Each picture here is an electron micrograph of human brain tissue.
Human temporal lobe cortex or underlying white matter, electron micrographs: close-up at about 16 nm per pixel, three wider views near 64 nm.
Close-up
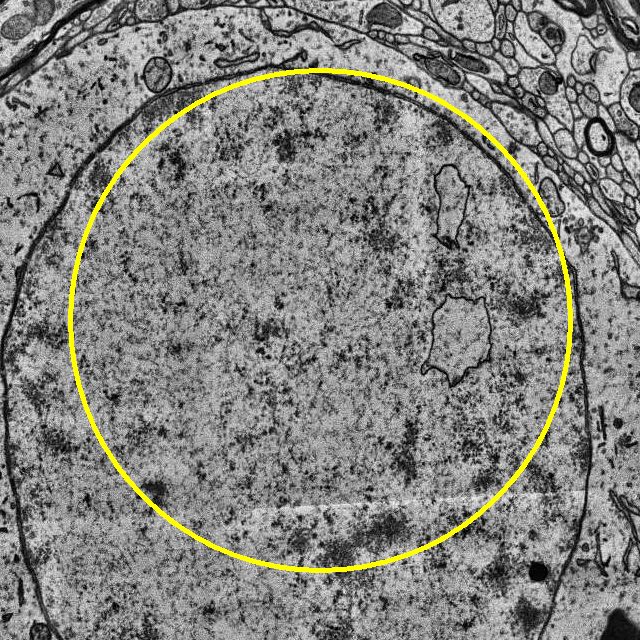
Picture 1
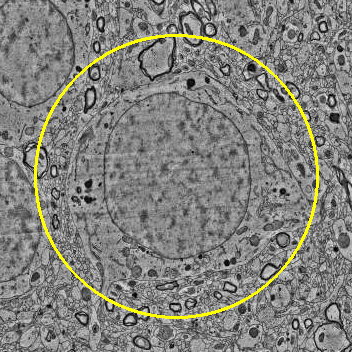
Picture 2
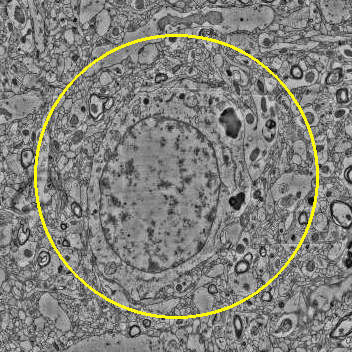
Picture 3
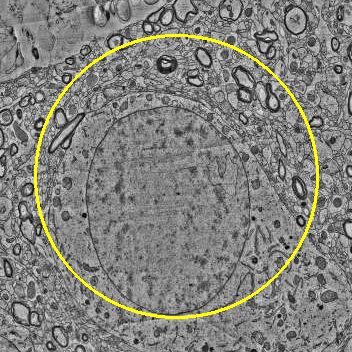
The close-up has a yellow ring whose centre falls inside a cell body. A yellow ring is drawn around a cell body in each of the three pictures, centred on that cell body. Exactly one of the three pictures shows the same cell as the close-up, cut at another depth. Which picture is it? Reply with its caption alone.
Picture 3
